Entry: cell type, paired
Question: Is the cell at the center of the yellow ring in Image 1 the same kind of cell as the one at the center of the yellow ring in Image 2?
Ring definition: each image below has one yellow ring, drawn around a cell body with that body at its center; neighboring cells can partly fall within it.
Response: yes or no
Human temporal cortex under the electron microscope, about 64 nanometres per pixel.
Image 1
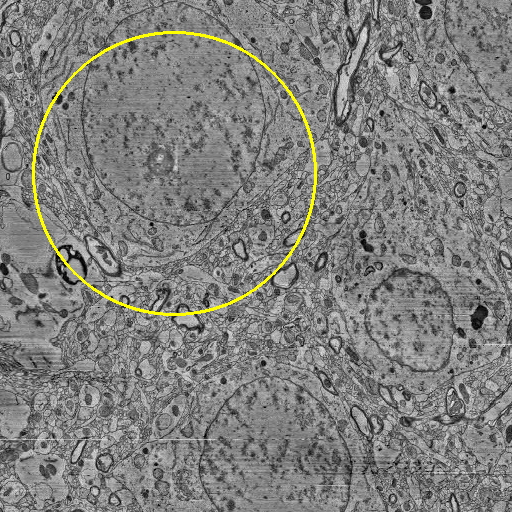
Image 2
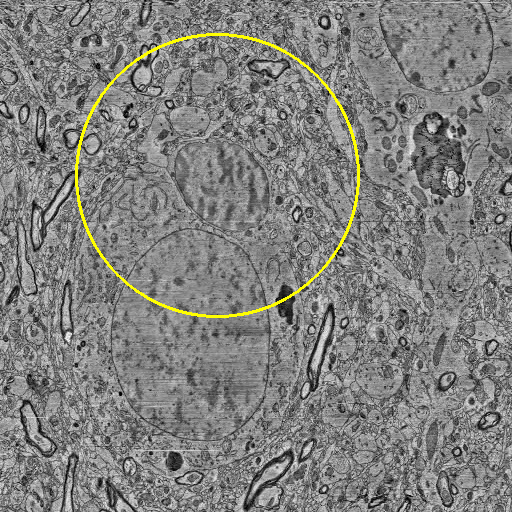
no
